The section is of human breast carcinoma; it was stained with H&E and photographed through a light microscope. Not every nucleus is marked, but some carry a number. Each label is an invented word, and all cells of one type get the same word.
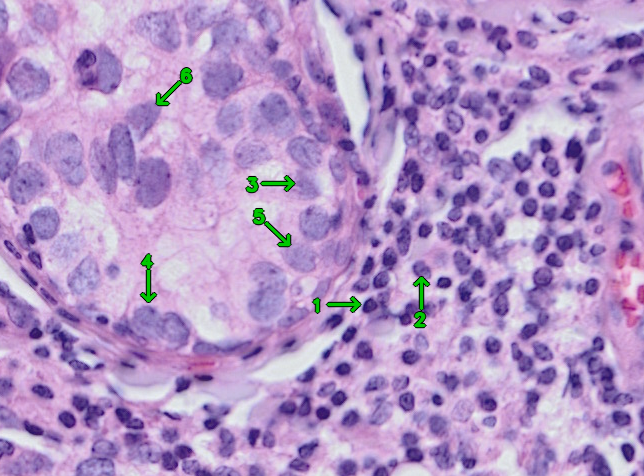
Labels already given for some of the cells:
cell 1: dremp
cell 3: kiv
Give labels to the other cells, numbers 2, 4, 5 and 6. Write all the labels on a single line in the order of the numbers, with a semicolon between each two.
dremp; kiv; kiv; kiv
